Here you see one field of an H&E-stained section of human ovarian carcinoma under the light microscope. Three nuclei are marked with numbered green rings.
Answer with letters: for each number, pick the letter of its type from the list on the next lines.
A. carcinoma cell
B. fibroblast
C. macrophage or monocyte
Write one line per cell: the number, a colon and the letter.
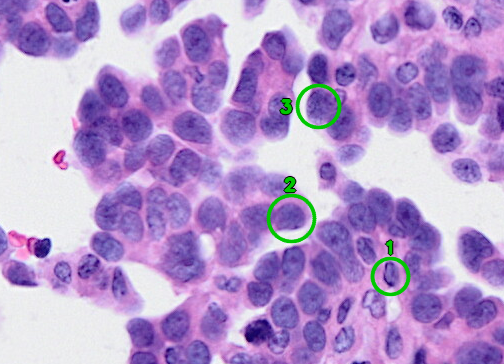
1: C
2: A
3: A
